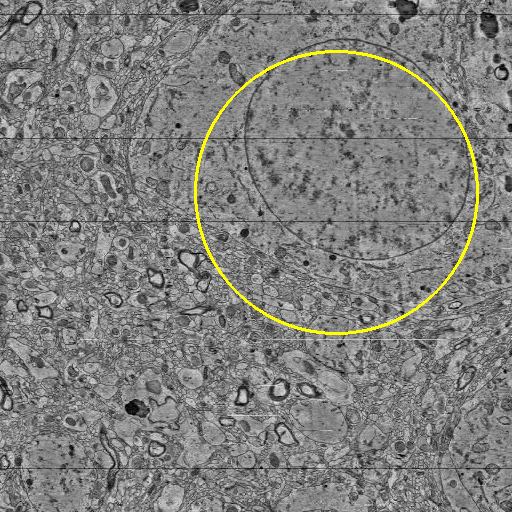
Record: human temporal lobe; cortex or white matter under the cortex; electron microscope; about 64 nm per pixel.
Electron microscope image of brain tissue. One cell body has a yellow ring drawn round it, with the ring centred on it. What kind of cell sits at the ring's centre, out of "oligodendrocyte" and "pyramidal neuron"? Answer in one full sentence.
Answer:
It is a pyramidal neuron whose cell body sits at the centre of the yellow ring.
